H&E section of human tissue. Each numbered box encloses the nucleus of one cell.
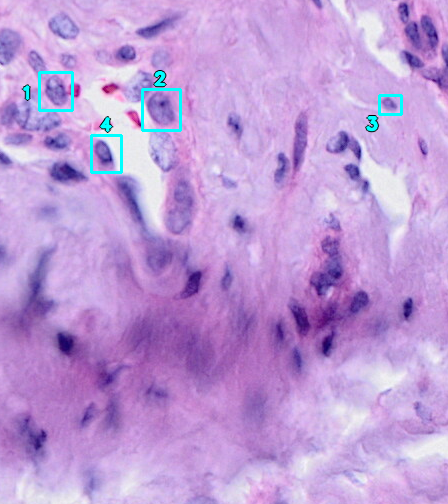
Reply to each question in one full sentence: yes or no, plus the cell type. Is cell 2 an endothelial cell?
Yes, cell number 2 is identified here as an endothelial cell.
